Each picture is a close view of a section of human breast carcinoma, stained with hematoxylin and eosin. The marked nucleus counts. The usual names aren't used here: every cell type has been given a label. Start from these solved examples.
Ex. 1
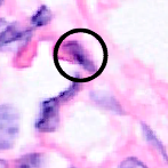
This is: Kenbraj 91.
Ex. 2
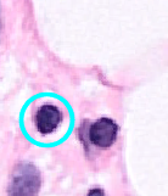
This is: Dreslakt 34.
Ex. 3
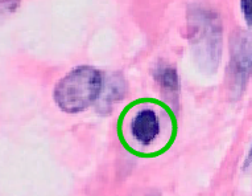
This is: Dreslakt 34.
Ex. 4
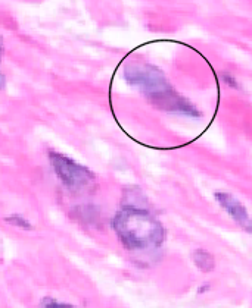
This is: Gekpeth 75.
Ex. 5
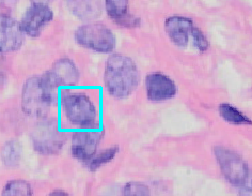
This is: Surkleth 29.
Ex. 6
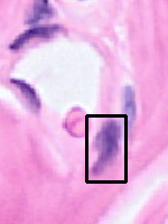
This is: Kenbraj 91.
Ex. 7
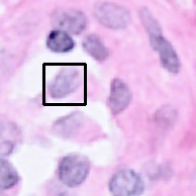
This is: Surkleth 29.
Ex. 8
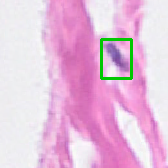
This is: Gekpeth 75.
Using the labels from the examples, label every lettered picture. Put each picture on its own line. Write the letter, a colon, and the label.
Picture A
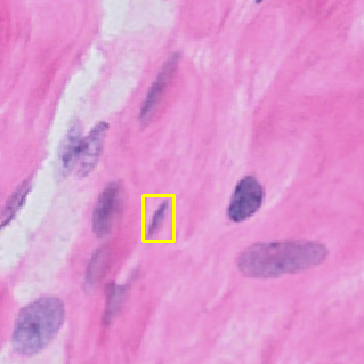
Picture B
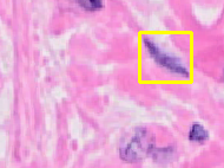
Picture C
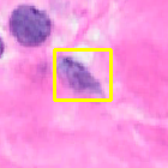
A: Gekpeth 75.
B: Gekpeth 75.
C: Gekpeth 75.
